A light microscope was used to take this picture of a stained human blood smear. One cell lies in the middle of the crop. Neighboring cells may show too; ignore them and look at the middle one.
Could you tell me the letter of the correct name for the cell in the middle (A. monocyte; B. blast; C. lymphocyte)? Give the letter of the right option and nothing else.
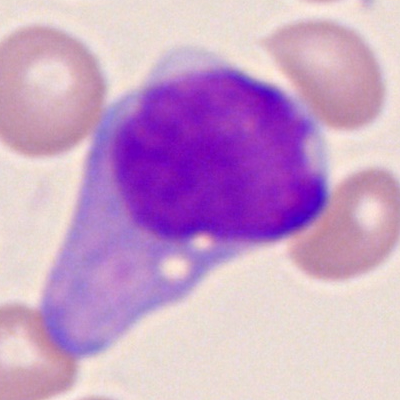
A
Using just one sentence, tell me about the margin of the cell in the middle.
The outer contour of the cell is irregular, with ragged portions or projections along it.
